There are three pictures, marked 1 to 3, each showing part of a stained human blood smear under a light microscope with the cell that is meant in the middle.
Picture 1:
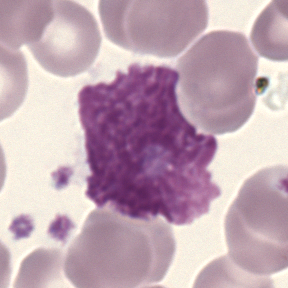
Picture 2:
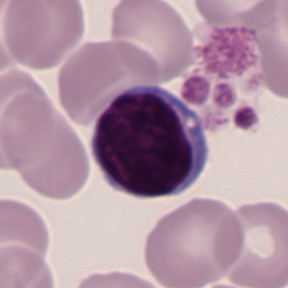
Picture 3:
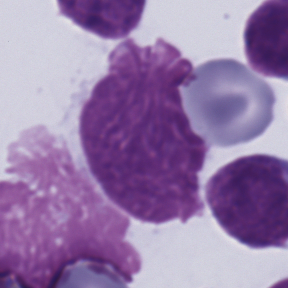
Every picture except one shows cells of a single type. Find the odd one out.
2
